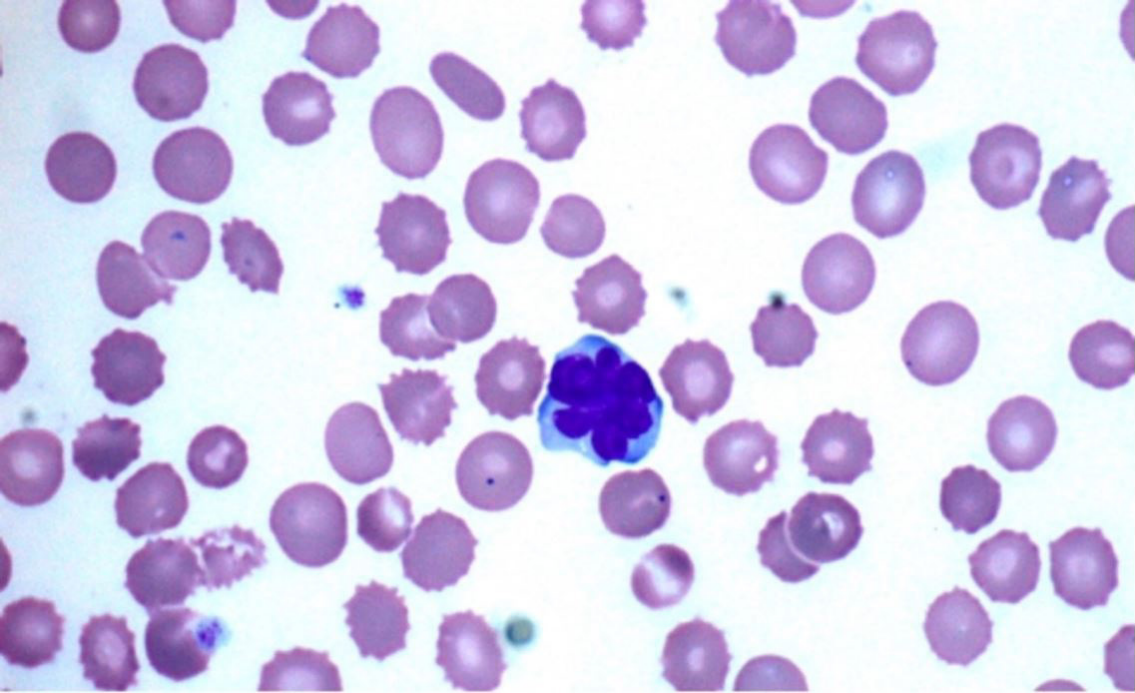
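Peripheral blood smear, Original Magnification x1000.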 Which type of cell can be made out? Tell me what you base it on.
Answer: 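Echinocytes. Most red cells carry many short, evenly spaced spiky projections around their rims. The spiky cells are round and about the same size as the smooth red cells.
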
